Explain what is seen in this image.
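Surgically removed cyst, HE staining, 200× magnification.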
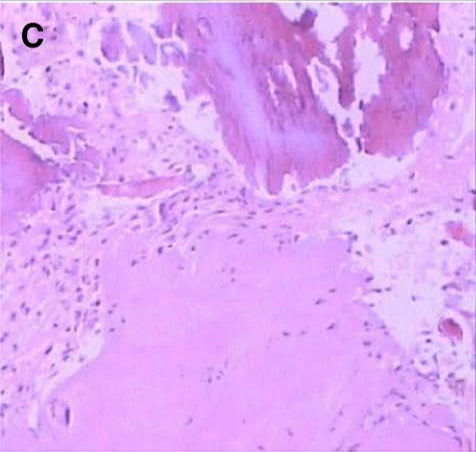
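Dense eosinophilic fibrous bands and a large homogeneous pink area lie within a pale, loosely textured stroma with clear spaces. Many small dark purple nuclei are scattered through the loose tissue between the fibrous bands.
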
